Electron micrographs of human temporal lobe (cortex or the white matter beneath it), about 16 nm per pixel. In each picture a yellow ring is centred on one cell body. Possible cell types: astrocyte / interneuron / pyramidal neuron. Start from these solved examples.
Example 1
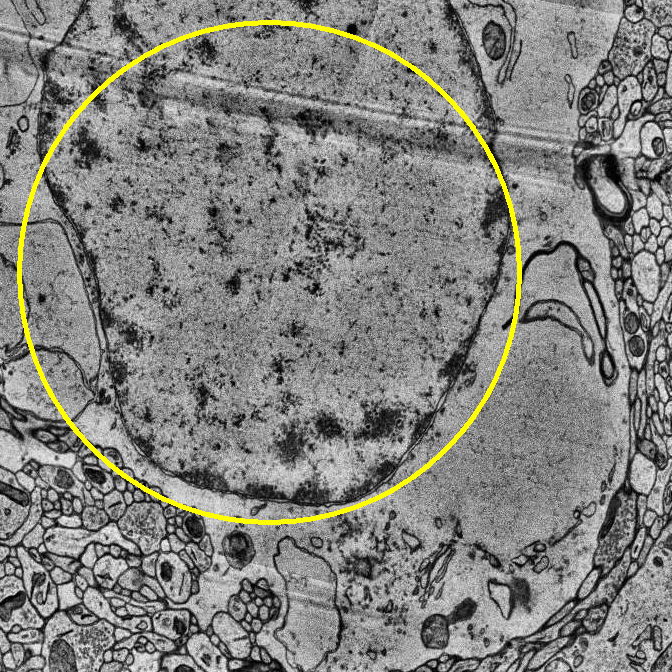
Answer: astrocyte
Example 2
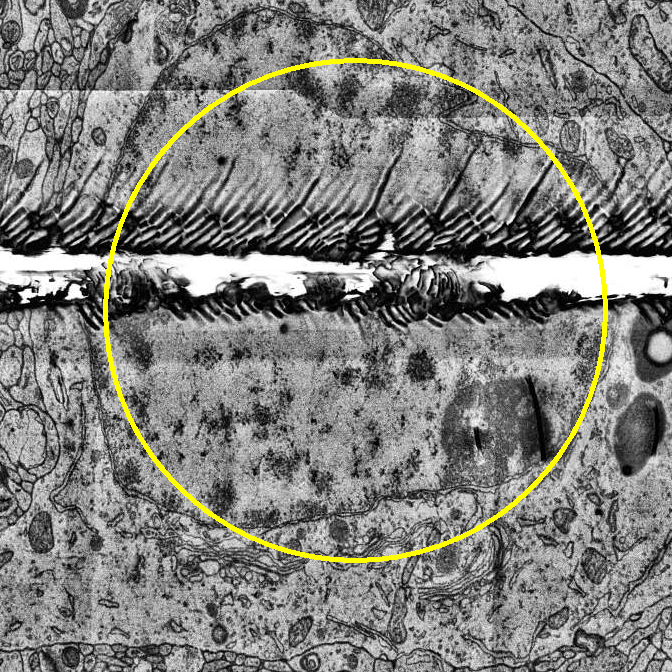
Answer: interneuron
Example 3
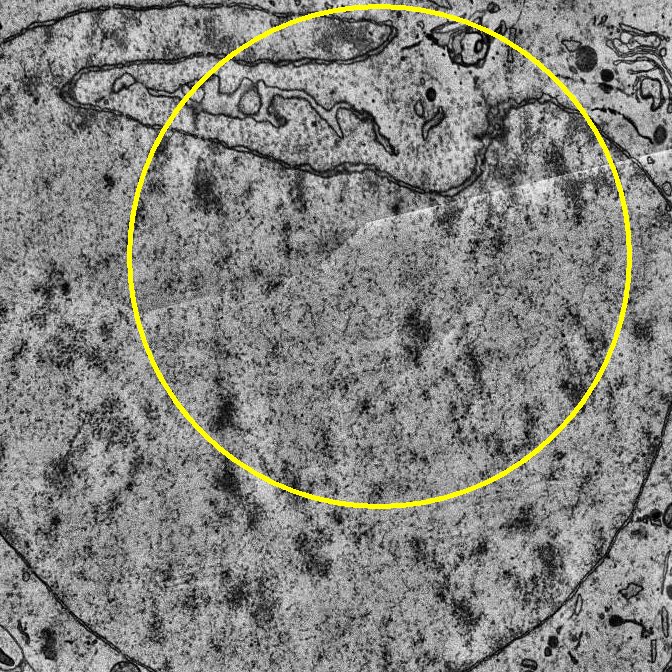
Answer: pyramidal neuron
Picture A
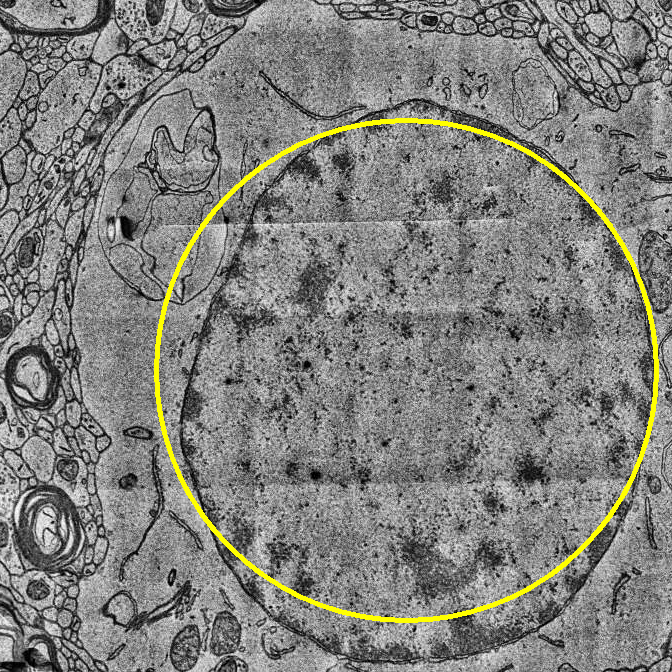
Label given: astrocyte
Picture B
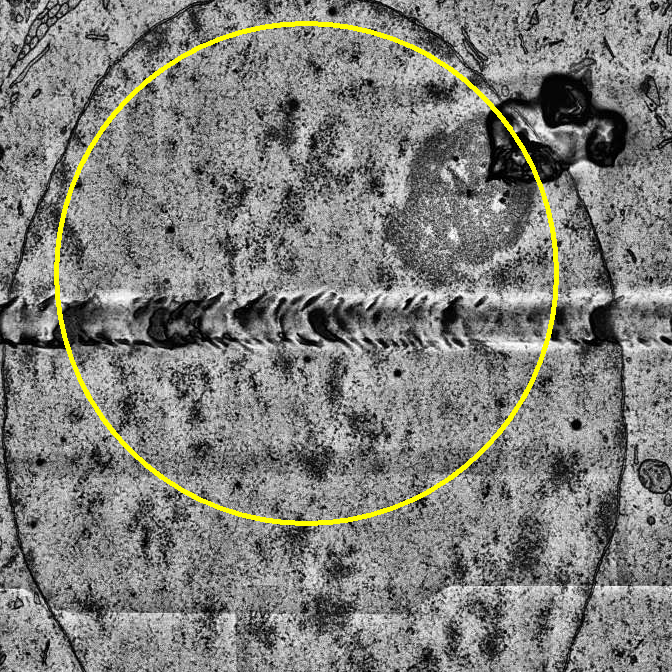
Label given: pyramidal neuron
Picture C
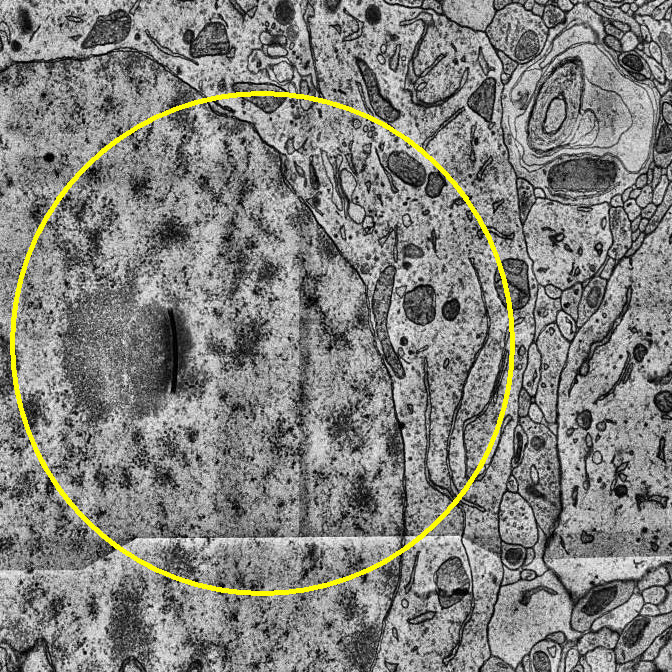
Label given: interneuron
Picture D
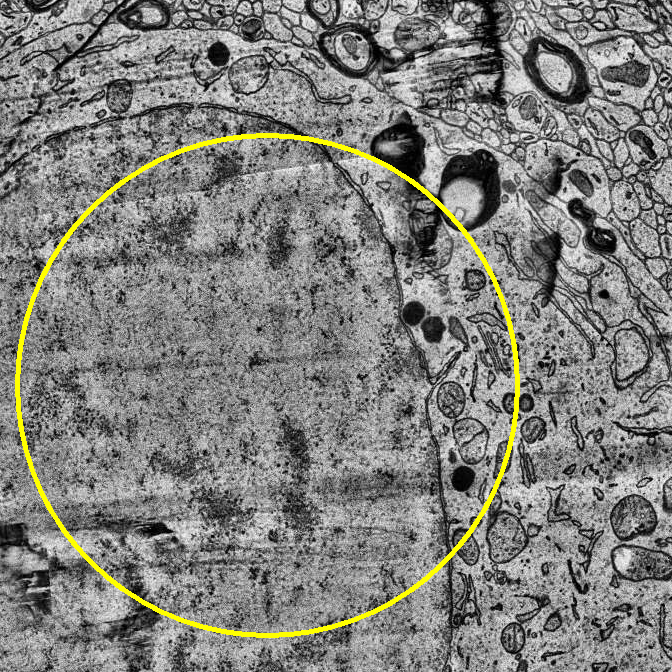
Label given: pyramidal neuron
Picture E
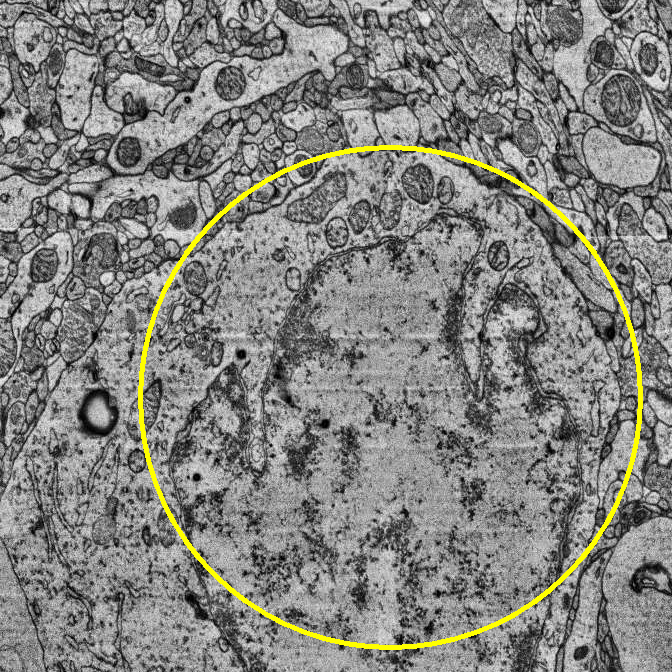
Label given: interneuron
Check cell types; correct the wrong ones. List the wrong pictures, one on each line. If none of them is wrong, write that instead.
None of the labels needs changing.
